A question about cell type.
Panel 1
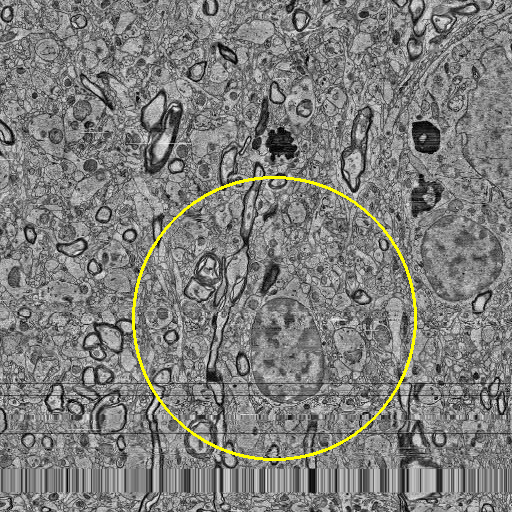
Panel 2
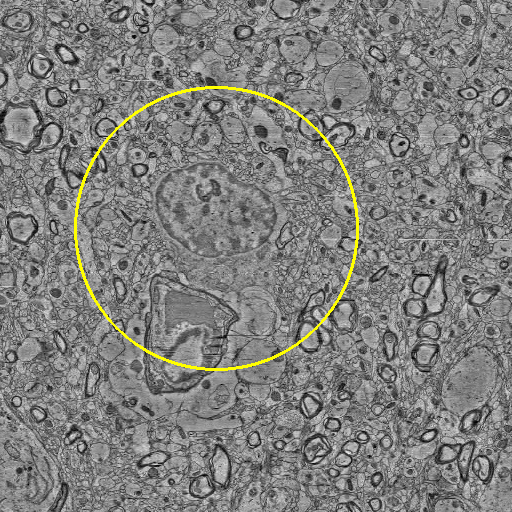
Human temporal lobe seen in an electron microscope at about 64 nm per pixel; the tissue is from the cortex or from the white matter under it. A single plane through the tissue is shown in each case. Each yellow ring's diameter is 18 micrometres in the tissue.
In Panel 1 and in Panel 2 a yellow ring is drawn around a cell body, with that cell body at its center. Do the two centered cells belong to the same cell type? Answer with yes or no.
no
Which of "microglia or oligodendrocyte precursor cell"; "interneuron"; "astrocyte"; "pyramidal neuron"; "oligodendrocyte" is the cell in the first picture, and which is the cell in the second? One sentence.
The two differ: the first cell is a microglial cell or oligodendrocyte precursor cell and the second is an oligodendrocyte.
